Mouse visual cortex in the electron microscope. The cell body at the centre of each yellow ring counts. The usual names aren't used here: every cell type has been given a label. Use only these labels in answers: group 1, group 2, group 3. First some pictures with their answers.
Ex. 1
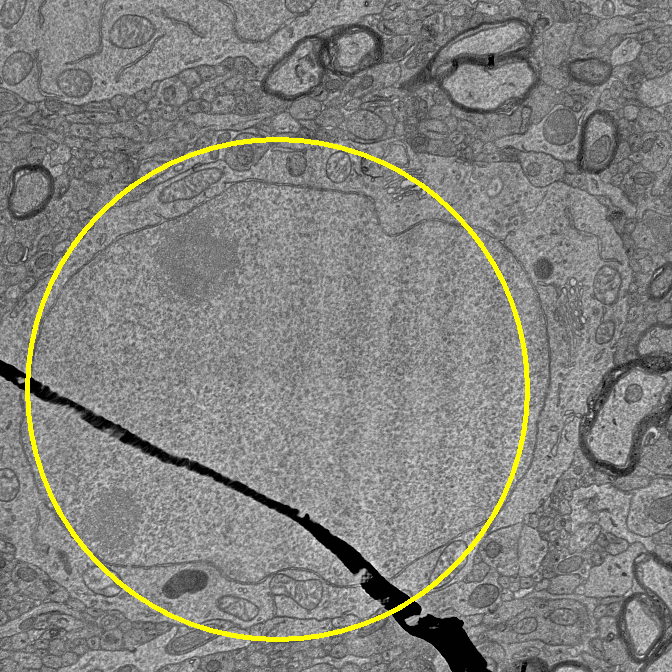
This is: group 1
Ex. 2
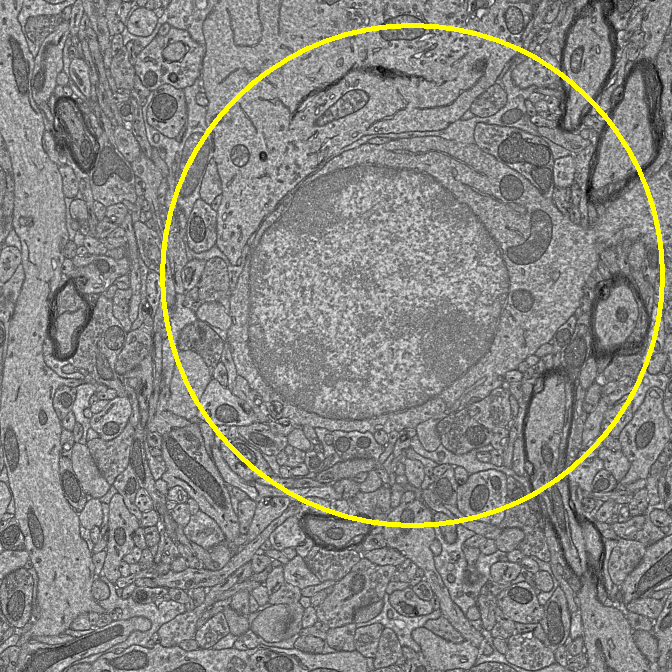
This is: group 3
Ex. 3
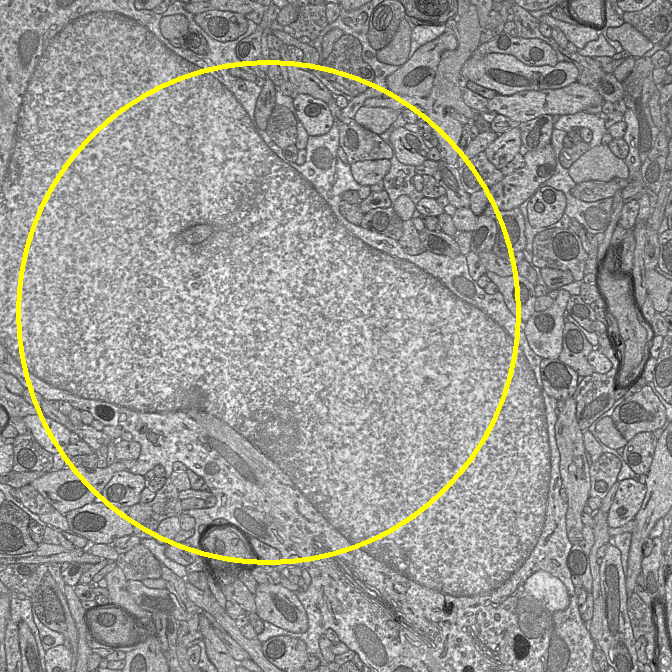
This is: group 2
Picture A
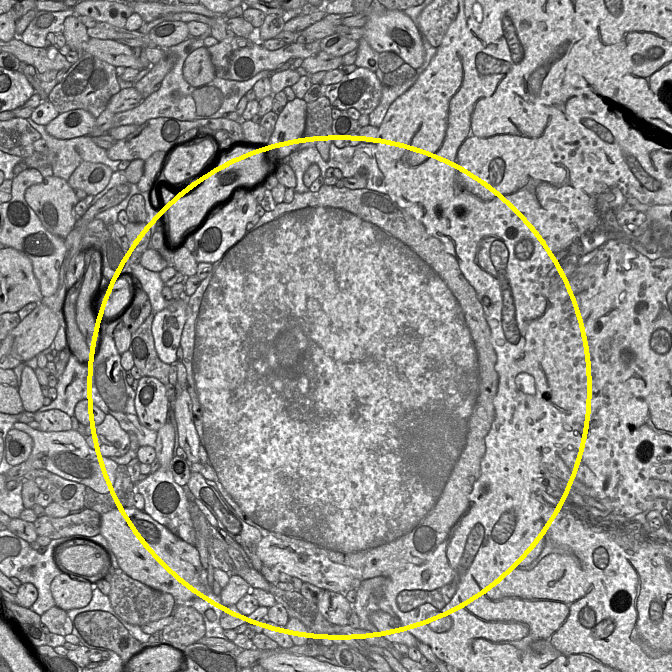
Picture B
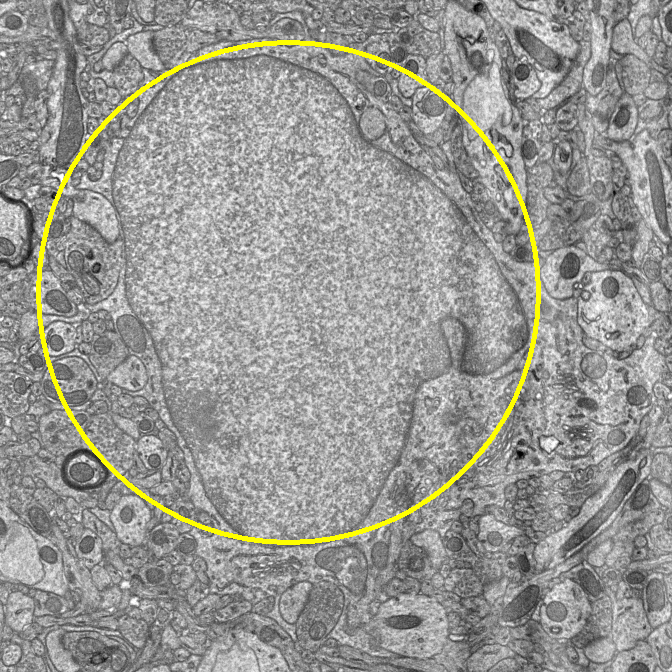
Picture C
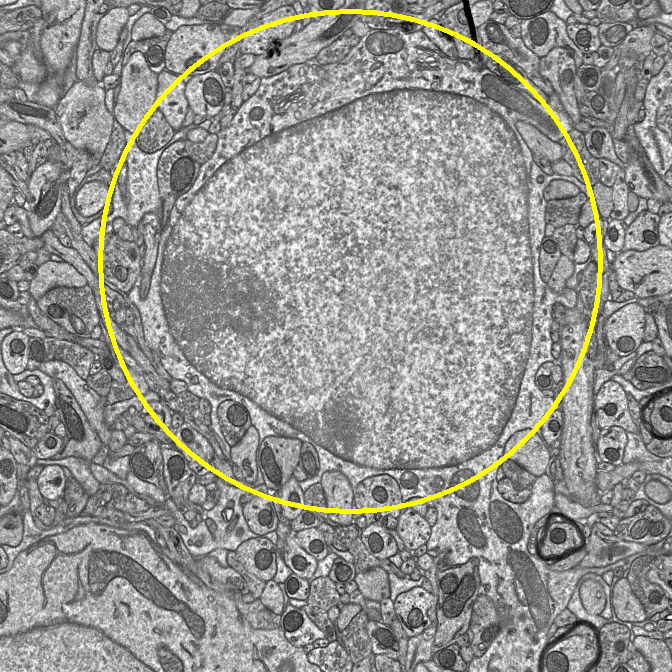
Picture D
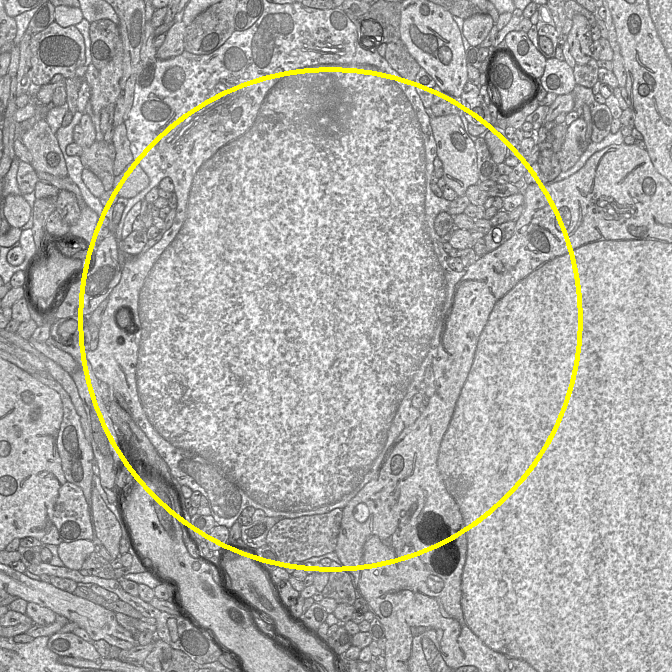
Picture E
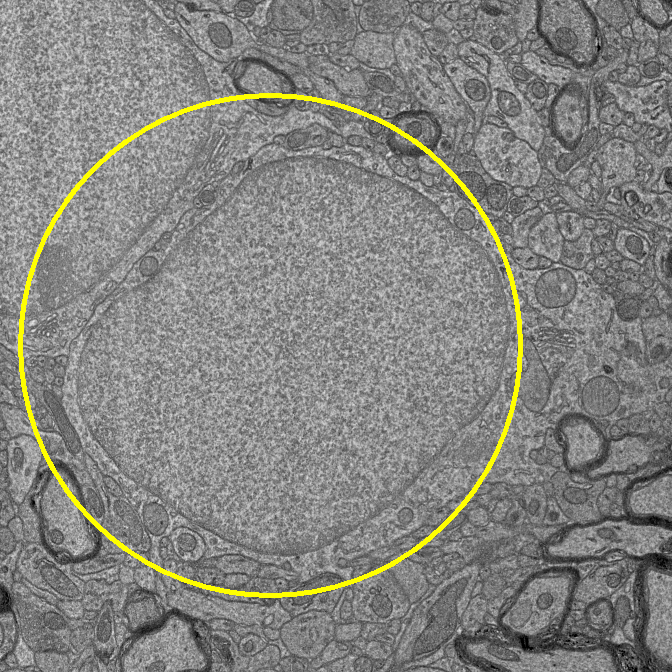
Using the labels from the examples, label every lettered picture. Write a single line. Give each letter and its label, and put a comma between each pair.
A group 3, B group 2, C group 2, D group 2, E group 2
